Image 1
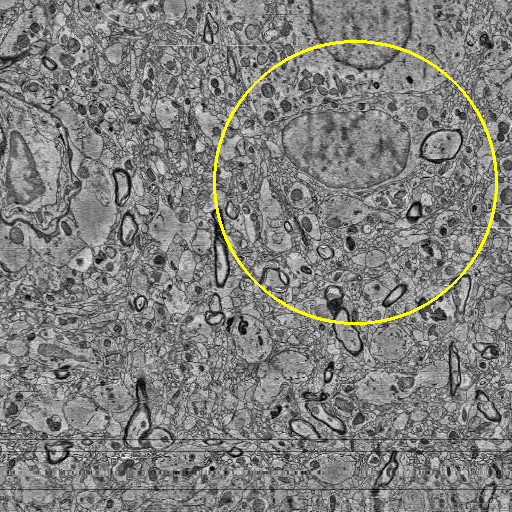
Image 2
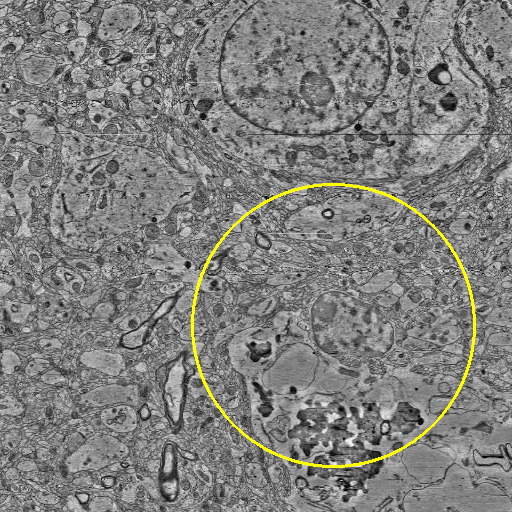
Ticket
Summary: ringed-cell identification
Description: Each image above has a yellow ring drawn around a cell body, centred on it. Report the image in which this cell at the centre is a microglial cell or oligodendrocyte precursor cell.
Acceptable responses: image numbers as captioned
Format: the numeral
2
